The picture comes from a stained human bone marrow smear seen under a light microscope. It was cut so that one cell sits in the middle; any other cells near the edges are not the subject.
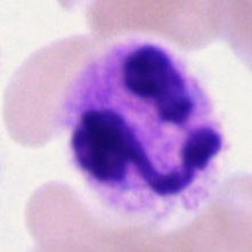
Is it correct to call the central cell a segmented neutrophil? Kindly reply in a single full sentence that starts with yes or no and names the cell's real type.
Yes, that is a segmented neutrophil in the middle of the crop.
